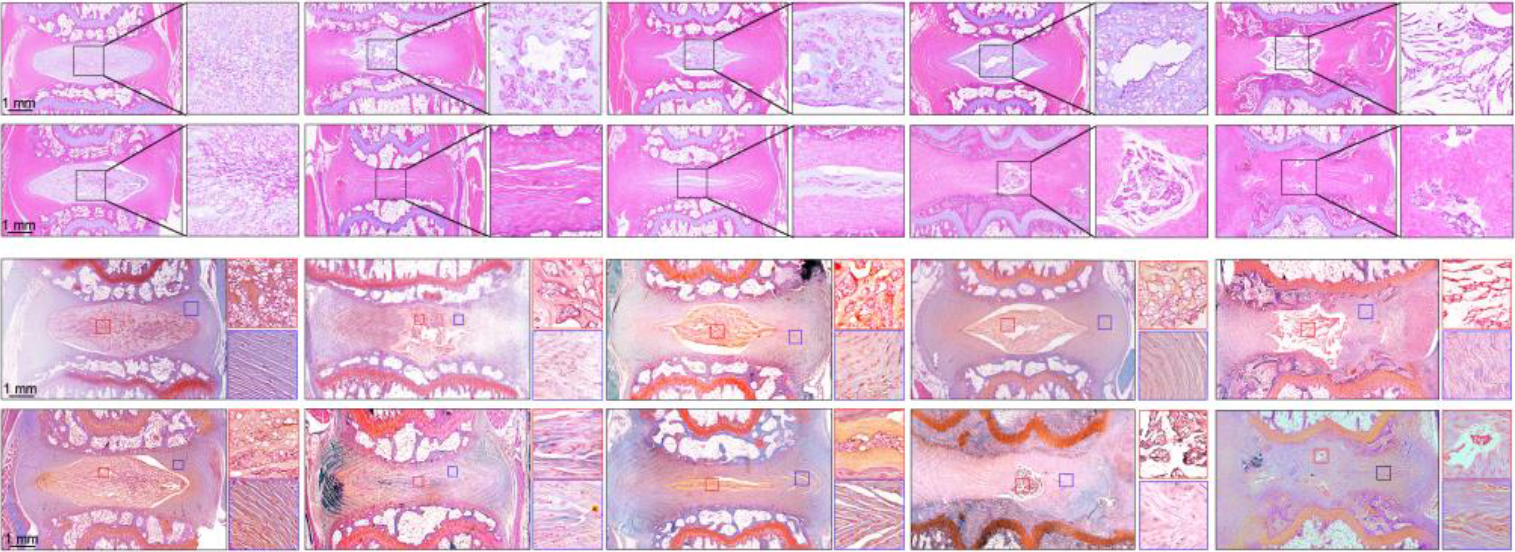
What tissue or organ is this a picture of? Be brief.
Intervertebral disc.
